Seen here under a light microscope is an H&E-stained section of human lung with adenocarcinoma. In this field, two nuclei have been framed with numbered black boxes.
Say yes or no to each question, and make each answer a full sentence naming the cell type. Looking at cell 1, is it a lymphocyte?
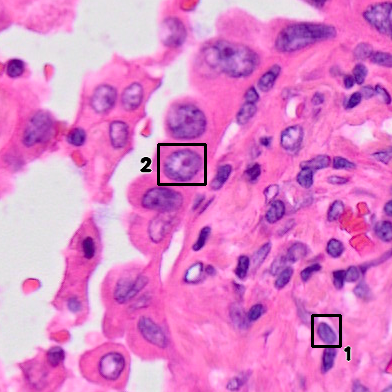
Yes, the cell that goes by number 1 is a lymphocyte.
